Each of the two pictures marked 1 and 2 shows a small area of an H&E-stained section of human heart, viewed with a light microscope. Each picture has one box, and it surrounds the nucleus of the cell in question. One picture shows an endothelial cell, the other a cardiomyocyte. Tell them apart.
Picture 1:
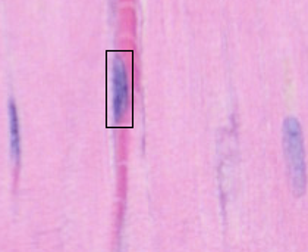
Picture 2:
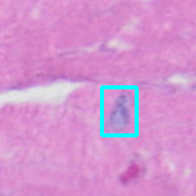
1: endothelial cell
2: cardiomyocyte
